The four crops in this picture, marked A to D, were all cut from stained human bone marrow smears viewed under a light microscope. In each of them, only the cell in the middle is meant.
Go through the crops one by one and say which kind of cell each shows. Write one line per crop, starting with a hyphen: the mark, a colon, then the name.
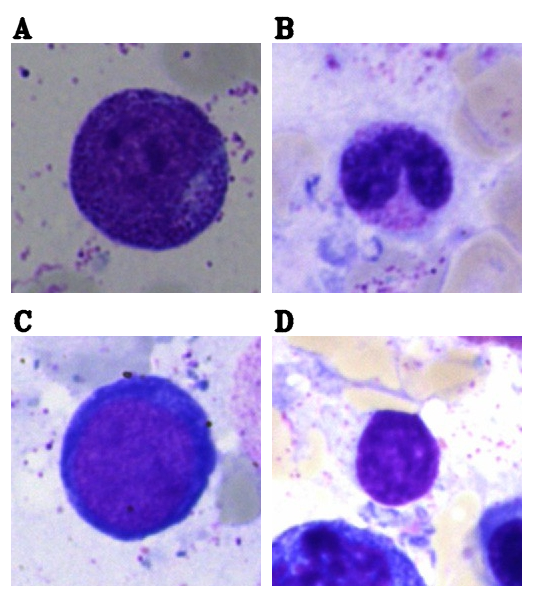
- A: promyelocyte
- B: band neutrophil
- C: proerythroblast
- D: lymphocyte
